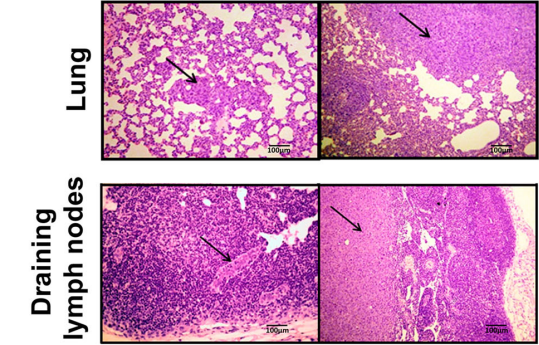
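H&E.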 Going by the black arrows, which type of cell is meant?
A: tumor cells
